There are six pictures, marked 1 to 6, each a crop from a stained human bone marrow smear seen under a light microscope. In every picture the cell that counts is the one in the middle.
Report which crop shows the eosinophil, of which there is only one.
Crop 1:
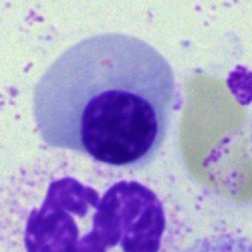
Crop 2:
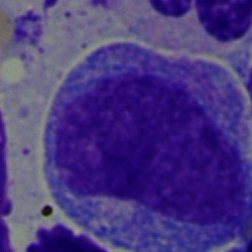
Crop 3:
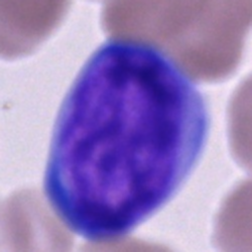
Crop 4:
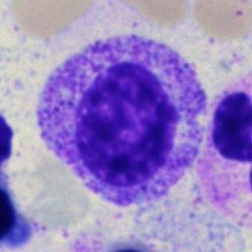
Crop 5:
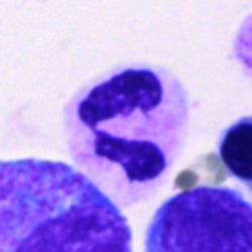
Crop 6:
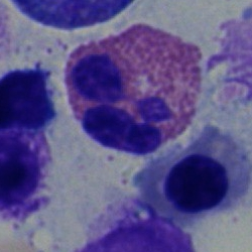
6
